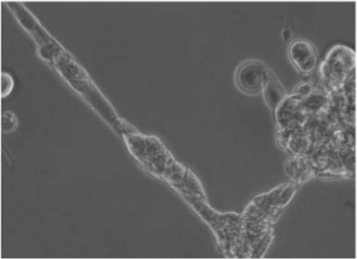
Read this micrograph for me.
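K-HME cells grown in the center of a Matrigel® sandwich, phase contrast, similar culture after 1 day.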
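A long, narrow cord of cells runs diagonally from the upper left toward the lower middle. Along its length it swells into several spindle-shaped, bead-like thickenings where cells crowd together, joined by thinner stretches. The cord then bends upward to the right and ends in a larger, rounded, compact cluster of cells with a granular texture. A few small, round, refractile bodies lie free near the cluster and at the left edge.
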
